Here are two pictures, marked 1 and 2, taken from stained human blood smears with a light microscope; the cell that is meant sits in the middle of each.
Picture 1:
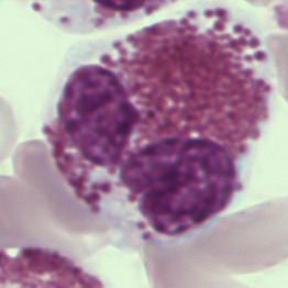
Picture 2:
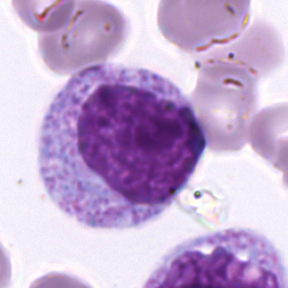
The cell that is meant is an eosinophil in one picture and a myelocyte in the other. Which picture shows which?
1: eosinophil
2: myelocyte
